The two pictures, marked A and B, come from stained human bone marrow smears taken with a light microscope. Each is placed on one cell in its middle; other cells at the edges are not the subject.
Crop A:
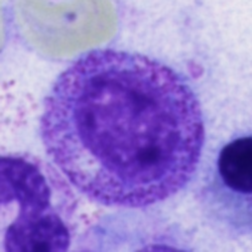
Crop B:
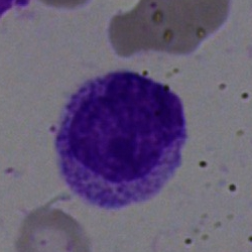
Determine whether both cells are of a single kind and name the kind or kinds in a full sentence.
Yes, the two central cells, one per crop, are myelocytes.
